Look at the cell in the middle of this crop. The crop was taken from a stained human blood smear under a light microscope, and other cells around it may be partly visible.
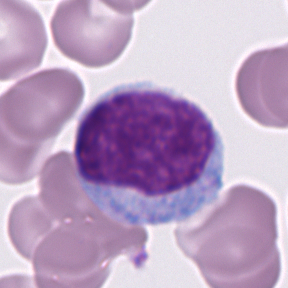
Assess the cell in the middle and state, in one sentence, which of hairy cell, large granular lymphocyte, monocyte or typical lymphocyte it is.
The crop's centre is taken up by a typical lymphocyte.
